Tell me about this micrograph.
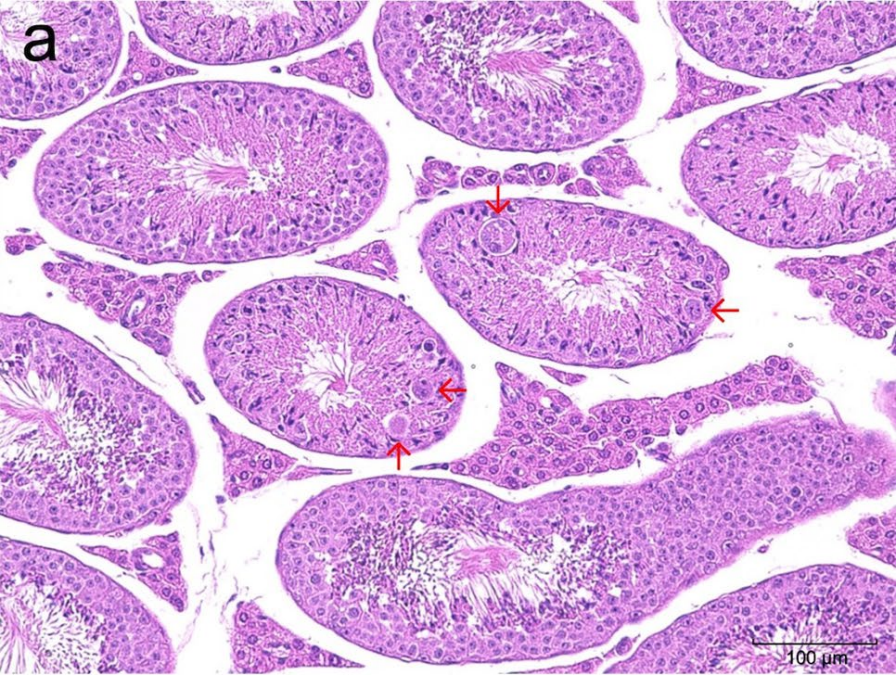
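This is a cross-section of the testis. Its seminiferous tubules are lined by layered germ cells that lead inward to bundles of dark, elongated sperm heads and tails in the lumen. Two tubules contain scattered large, rounded cells within the epithelium that stand apart from the surrounding germ cells; these are multinucleated giant cells. Clusters of pink interstitial cells fill the spaces between the tubules.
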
